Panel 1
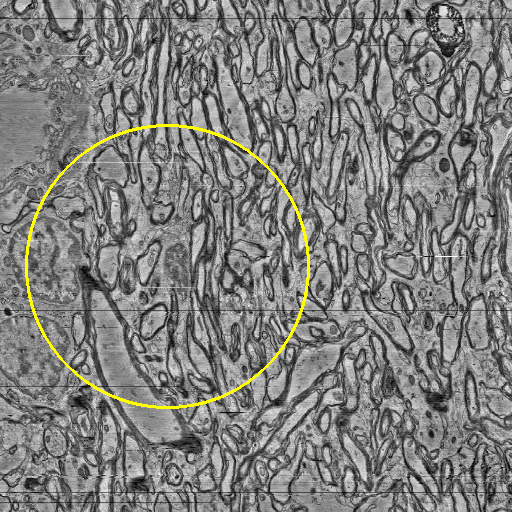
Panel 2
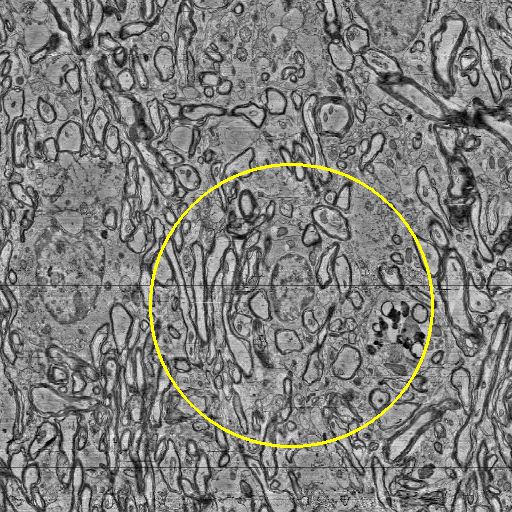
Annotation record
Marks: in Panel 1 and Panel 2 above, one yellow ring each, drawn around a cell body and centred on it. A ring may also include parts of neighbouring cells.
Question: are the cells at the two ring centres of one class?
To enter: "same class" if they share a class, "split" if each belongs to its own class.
same class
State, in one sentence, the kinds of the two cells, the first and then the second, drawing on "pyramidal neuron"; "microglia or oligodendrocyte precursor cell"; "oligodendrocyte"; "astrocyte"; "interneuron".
The cell at the ring centre is an oligodendrocyte in both pictures.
